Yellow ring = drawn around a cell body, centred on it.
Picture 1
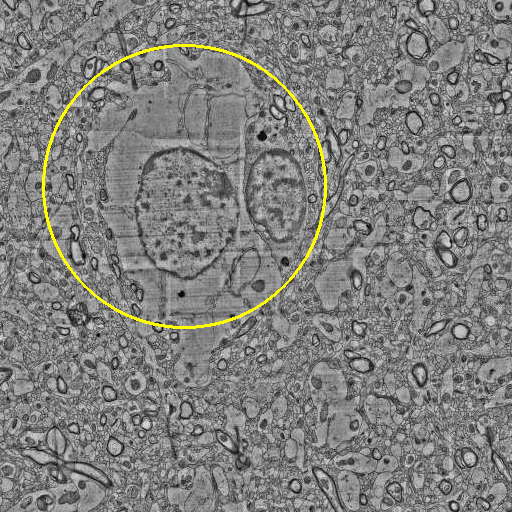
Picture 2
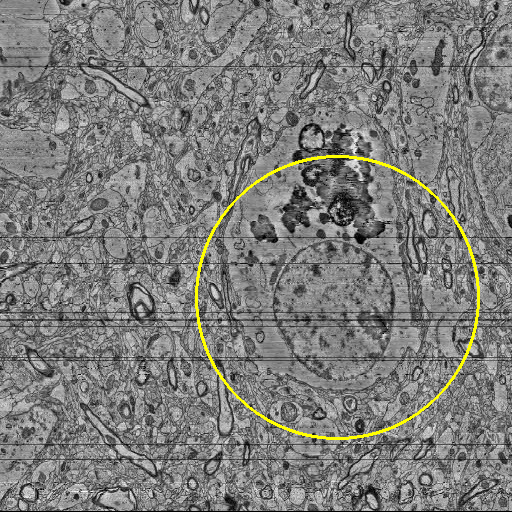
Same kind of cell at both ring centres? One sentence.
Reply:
Yes, they are the same kind of cell.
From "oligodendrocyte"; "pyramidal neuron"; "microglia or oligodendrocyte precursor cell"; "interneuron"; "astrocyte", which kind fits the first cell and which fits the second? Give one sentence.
Each of the two rings surrounds an astrocyte.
